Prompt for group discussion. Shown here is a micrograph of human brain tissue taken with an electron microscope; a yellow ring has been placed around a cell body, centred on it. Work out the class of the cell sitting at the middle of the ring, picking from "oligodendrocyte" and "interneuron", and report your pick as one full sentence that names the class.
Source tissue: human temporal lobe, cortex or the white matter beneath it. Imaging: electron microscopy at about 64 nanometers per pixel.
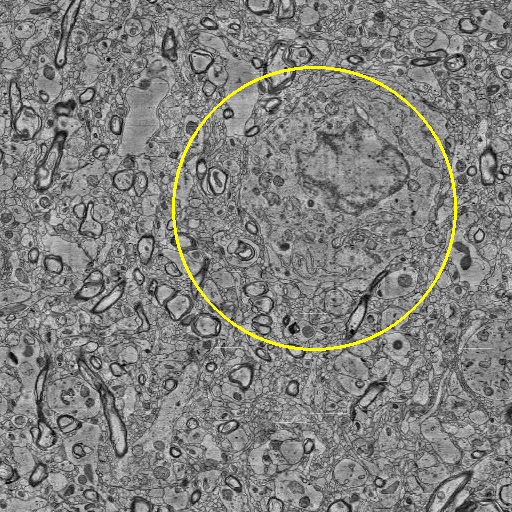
The cell sitting at the middle of the yellow ring is an interneuron.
